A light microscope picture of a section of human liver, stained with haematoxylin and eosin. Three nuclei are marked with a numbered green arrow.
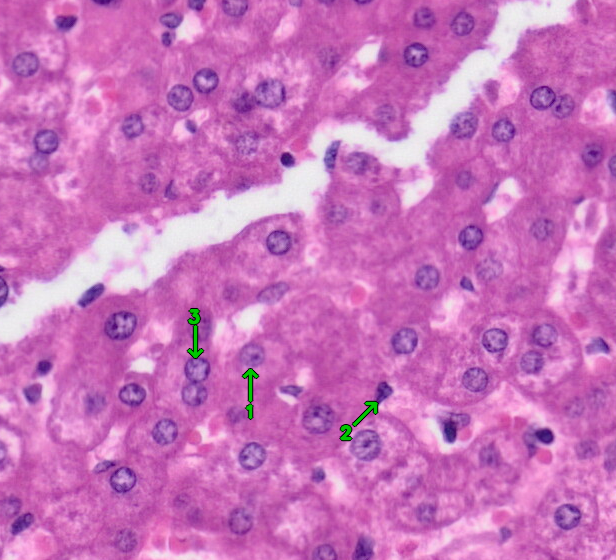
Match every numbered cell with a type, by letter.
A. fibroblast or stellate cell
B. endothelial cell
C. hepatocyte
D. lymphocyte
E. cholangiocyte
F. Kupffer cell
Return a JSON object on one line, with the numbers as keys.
{"1": "C", "2": "B", "3": "C"}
